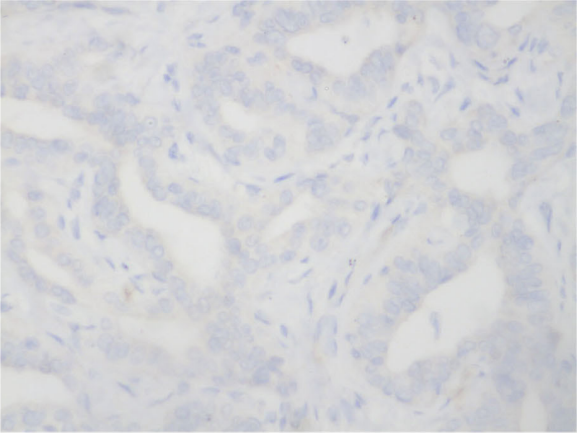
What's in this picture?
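This is a gland-forming cancerous area, with irregular, branching glands lined by cuboidal to columnar epithelial cells. Their round to oval nuclei are counterstained blue and sit crowded along the gland walls around open, empty lumina. Between the glands lies a pale fibrous stroma holding scattered spindle-shaped nuclei. The tumour cells show essentially no brown stain, so the section reads as negative.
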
